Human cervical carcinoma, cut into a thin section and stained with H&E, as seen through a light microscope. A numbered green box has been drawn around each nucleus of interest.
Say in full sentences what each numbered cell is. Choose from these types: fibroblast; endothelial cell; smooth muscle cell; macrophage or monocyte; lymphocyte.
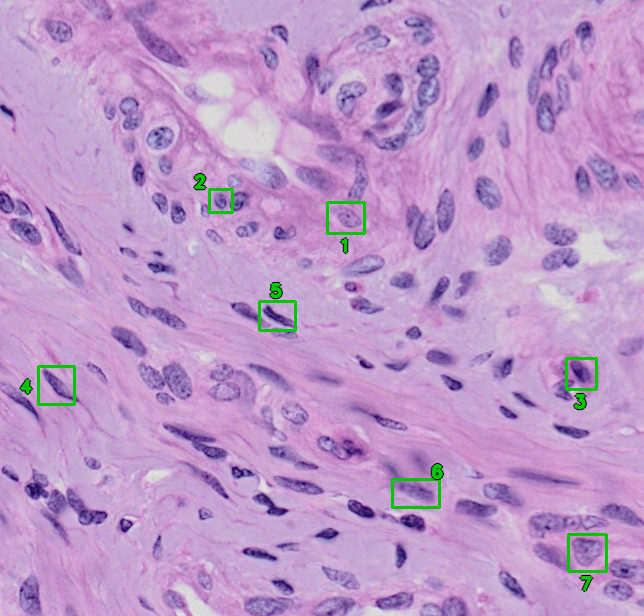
Cells 1 and 2 are smooth muscle cells. Cells 3 and 7 are endothelial cells. Cells 4, 5 and 6 are fibroblasts.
